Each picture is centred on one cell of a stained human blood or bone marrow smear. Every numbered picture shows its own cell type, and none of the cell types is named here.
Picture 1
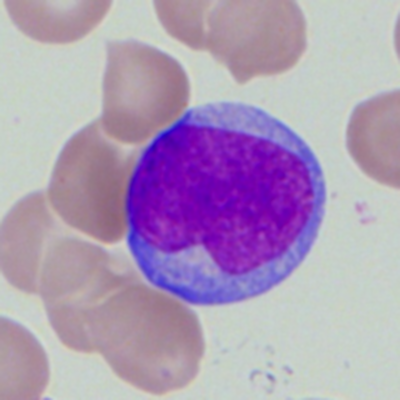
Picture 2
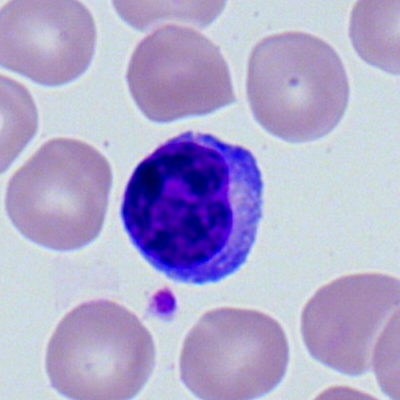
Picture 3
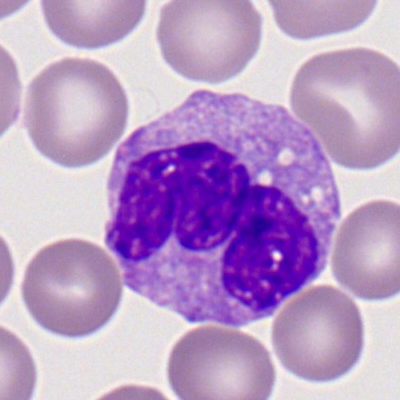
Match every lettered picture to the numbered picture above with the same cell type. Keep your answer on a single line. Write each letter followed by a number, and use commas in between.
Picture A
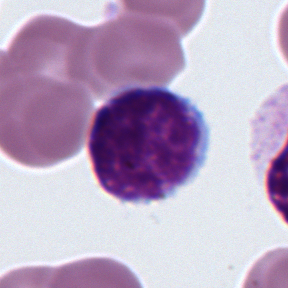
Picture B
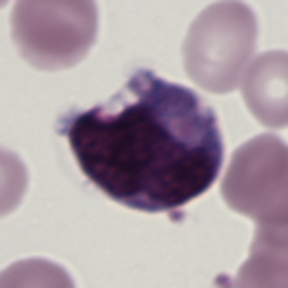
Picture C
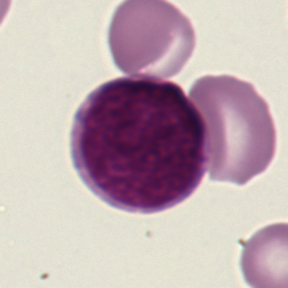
A 2, B 3, C 1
